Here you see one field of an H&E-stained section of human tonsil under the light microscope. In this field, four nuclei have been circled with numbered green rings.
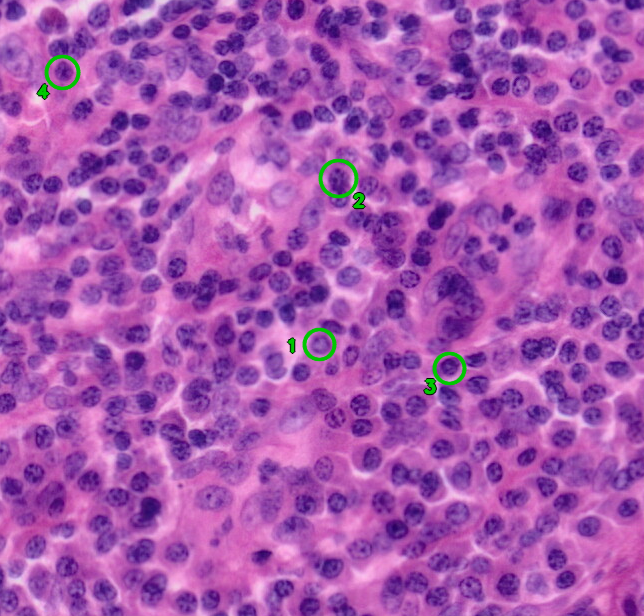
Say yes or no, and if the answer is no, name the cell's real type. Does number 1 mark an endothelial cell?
No, it is a plasma cell.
